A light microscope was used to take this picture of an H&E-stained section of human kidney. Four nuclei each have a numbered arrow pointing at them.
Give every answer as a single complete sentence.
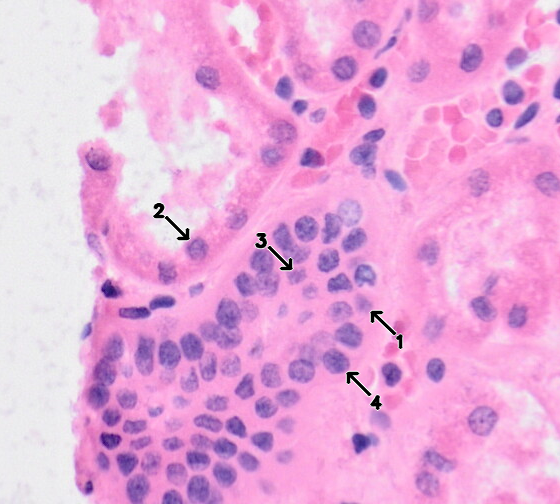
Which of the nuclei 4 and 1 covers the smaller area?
Number 1 is smaller, since number 4 takes up about 2 times as much area.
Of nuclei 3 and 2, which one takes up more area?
Number 2 is larger; its area is about 1.5 times that of number 3.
